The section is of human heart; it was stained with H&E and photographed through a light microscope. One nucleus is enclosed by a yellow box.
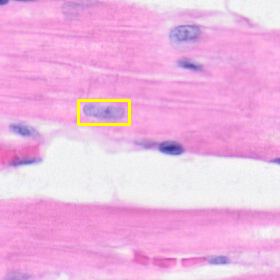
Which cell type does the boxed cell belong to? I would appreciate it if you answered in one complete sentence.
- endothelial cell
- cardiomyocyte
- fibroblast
In the tissue at hand, the boxed cell is a cardiomyocyte.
